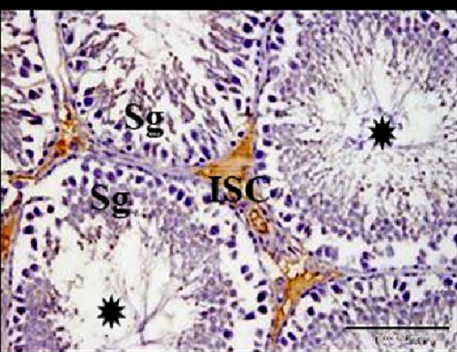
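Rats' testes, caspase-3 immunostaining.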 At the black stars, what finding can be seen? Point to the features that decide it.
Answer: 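Wide empty lumen. The stars sit in the centres of round tubules. The centres around the stars are largely empty and pale, with only thin wisps of tails.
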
